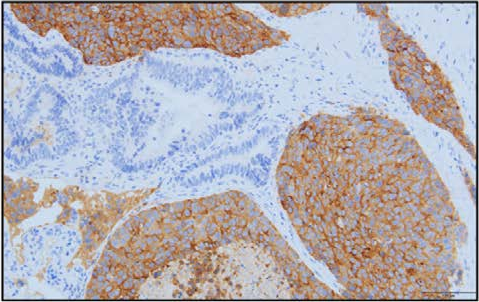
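Tumour tissue lies in fibrous stroma, with solid rounded nests of cells whose membranes and cytoplasm are stained strongly brown. Beside them are glands lined by tall columnar cells with elongated, stacked nuclei that remain unstained and blue, as do the spindle cells of the stroma.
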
